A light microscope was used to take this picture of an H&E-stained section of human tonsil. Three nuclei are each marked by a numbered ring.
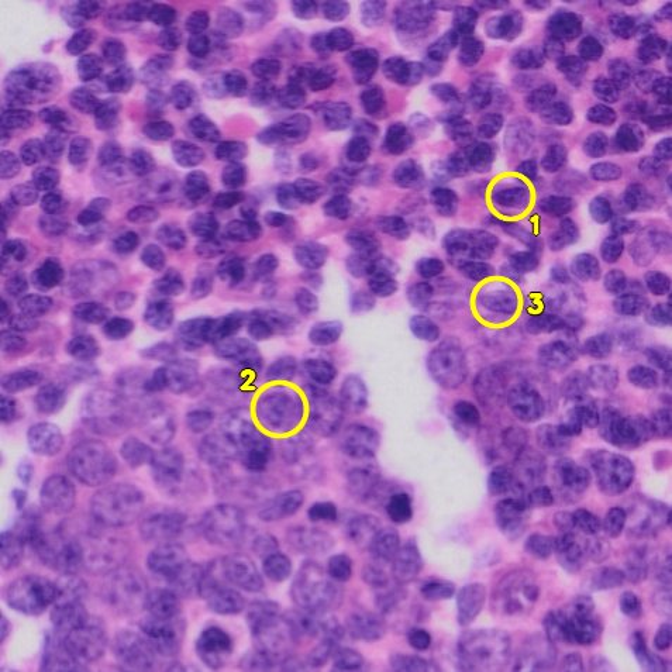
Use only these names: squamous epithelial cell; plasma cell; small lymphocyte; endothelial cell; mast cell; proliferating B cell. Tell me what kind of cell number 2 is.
proliferating B cell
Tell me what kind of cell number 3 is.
proliferating B cell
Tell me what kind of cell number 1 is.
small lymphocyte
